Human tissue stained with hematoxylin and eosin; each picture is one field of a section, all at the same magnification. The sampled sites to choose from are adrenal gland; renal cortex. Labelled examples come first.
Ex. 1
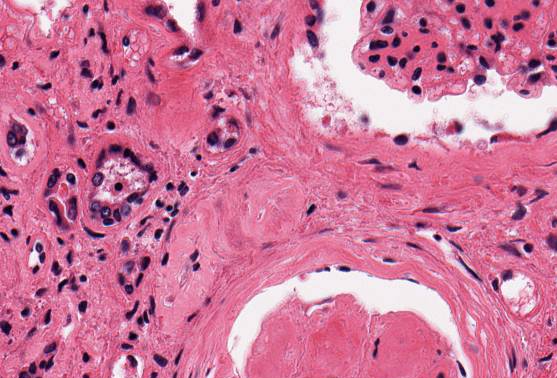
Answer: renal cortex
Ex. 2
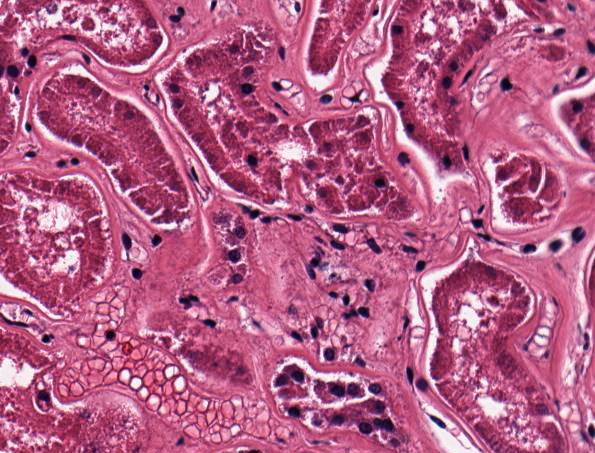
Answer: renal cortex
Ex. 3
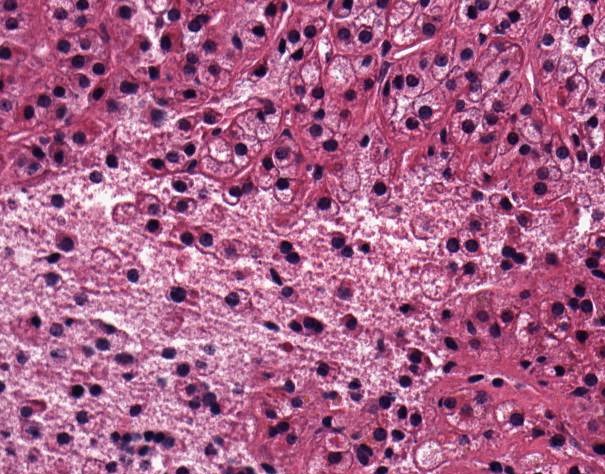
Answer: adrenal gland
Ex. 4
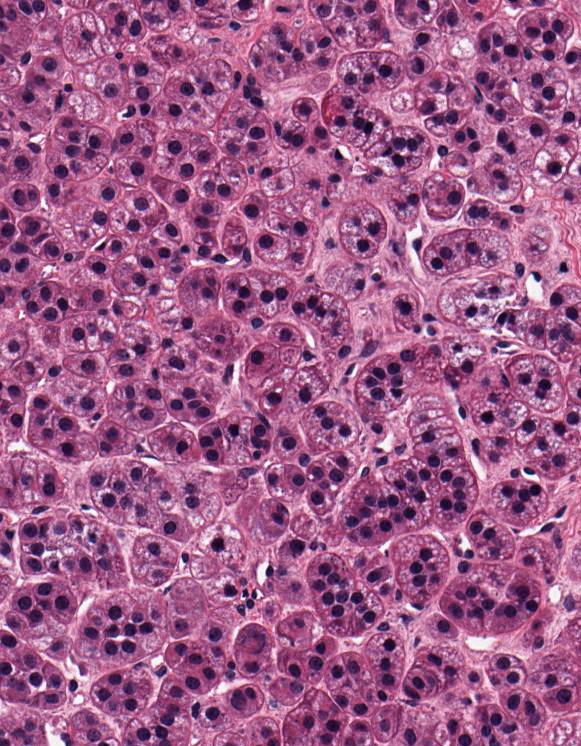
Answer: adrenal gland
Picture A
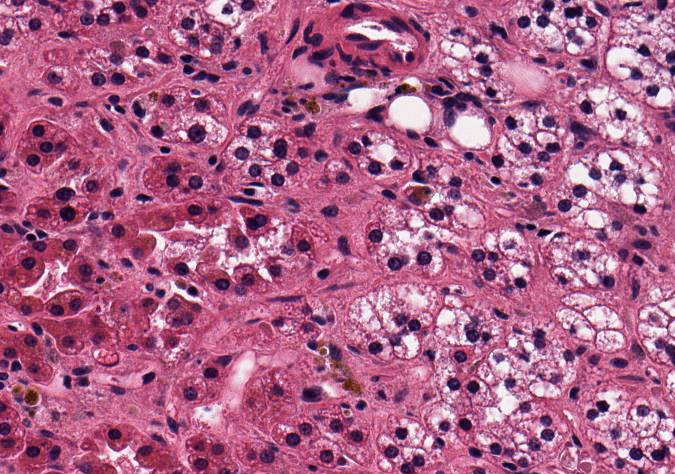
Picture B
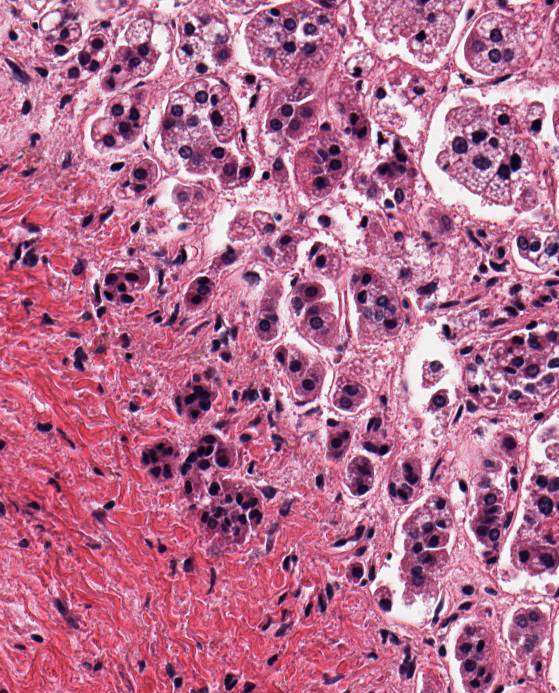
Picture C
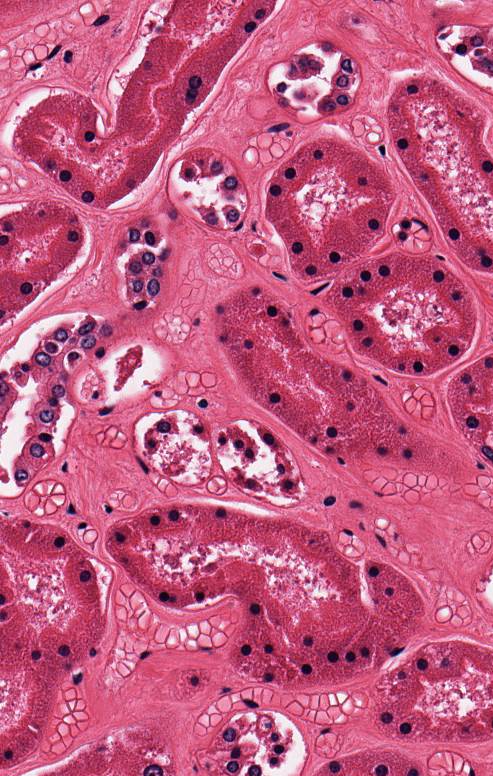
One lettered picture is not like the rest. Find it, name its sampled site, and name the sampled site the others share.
Odd one out: C (renal cortex). The rest: adrenal gland.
